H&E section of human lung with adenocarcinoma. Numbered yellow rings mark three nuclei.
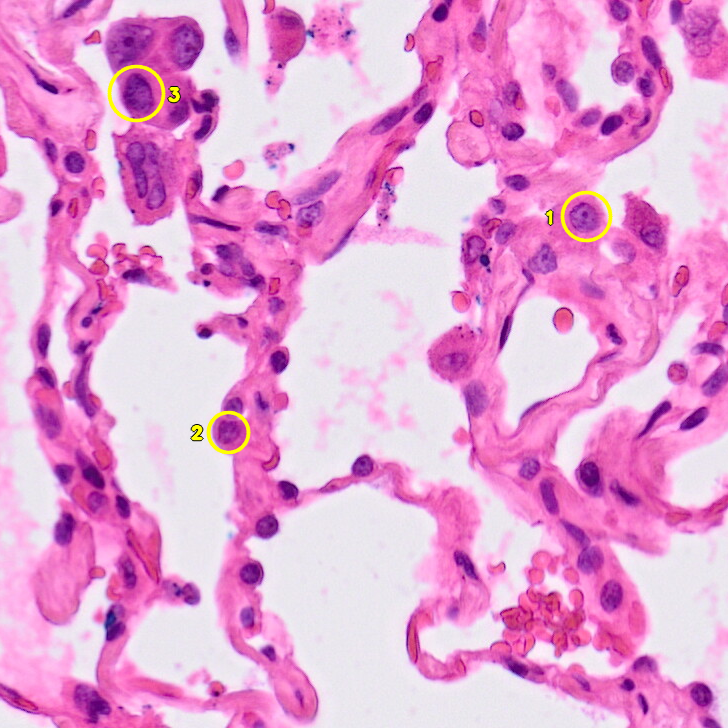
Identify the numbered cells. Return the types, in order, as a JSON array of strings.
["macrophage or monocyte", "macrophage or monocyte", "carcinoma cell"]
